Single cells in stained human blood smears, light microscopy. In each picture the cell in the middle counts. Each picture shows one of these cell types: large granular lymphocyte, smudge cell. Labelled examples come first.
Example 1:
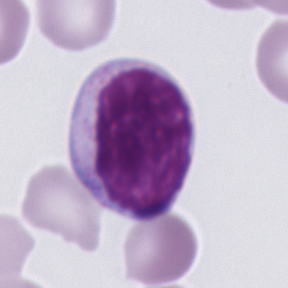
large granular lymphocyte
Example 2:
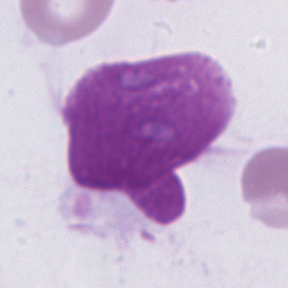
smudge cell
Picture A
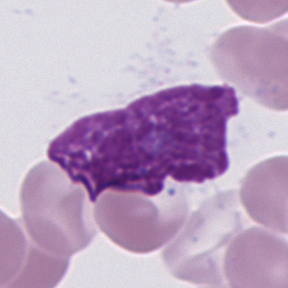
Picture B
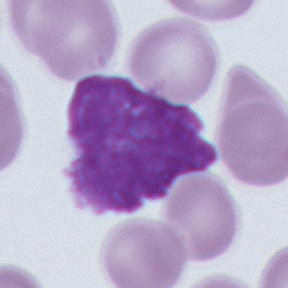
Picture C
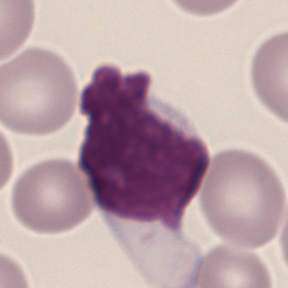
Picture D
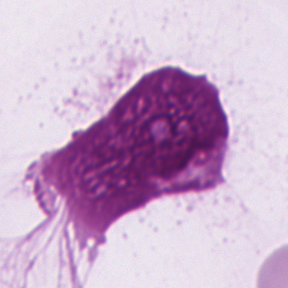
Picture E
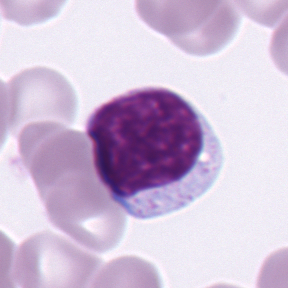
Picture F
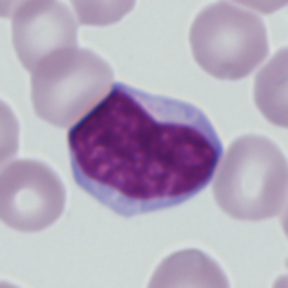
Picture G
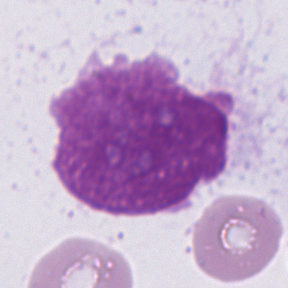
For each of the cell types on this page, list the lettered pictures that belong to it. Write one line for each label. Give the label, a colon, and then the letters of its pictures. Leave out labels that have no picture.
large granular lymphocyte: C, E, F
smudge cell: A, B, D, G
